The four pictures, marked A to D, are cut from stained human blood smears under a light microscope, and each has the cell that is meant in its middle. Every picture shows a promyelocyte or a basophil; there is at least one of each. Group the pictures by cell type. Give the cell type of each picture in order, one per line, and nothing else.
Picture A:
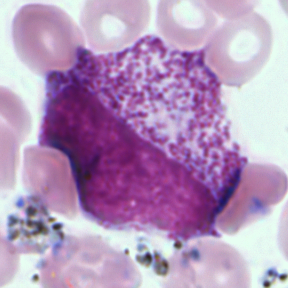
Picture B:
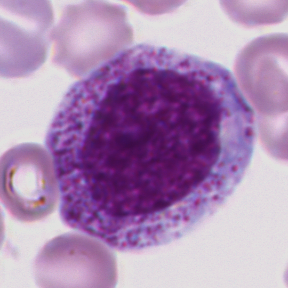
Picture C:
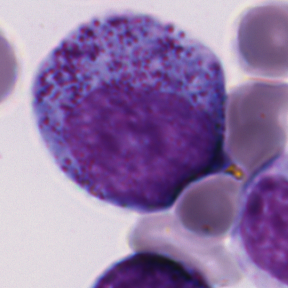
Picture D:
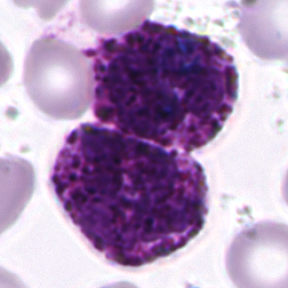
promyelocyte
promyelocyte
promyelocyte
basophil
